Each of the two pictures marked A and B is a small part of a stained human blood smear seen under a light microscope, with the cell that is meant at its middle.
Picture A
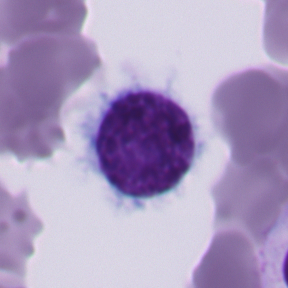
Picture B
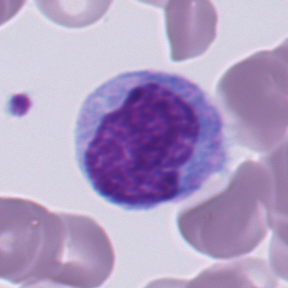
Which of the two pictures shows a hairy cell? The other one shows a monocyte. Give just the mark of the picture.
A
